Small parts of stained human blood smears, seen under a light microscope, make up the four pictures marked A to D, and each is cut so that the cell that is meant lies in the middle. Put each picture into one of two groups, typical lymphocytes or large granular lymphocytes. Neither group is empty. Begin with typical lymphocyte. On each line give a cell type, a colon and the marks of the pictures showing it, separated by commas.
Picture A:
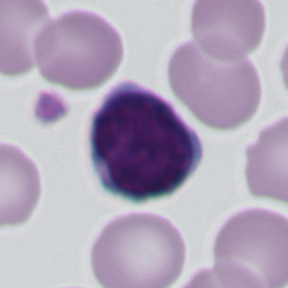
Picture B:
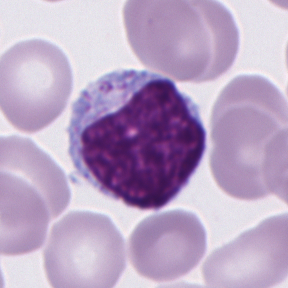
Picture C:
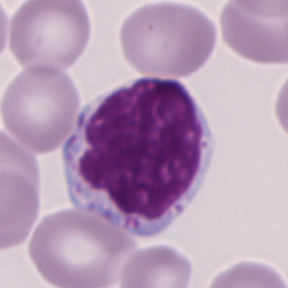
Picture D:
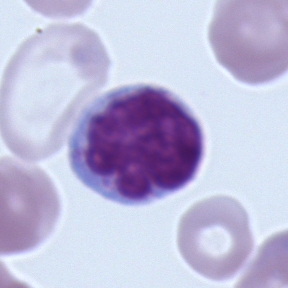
typical lymphocyte: A, D
large granular lymphocyte: B, C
